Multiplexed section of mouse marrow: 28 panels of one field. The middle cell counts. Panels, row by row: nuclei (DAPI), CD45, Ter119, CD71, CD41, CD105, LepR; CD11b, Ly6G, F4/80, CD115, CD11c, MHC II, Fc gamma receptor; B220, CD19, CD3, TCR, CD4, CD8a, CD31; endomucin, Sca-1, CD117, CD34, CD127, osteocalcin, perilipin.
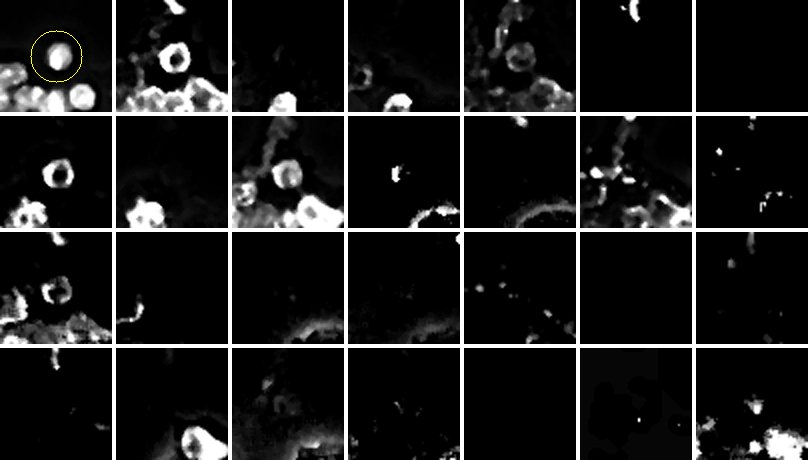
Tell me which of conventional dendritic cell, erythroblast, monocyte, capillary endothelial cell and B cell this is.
The picture shows a monocyte.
